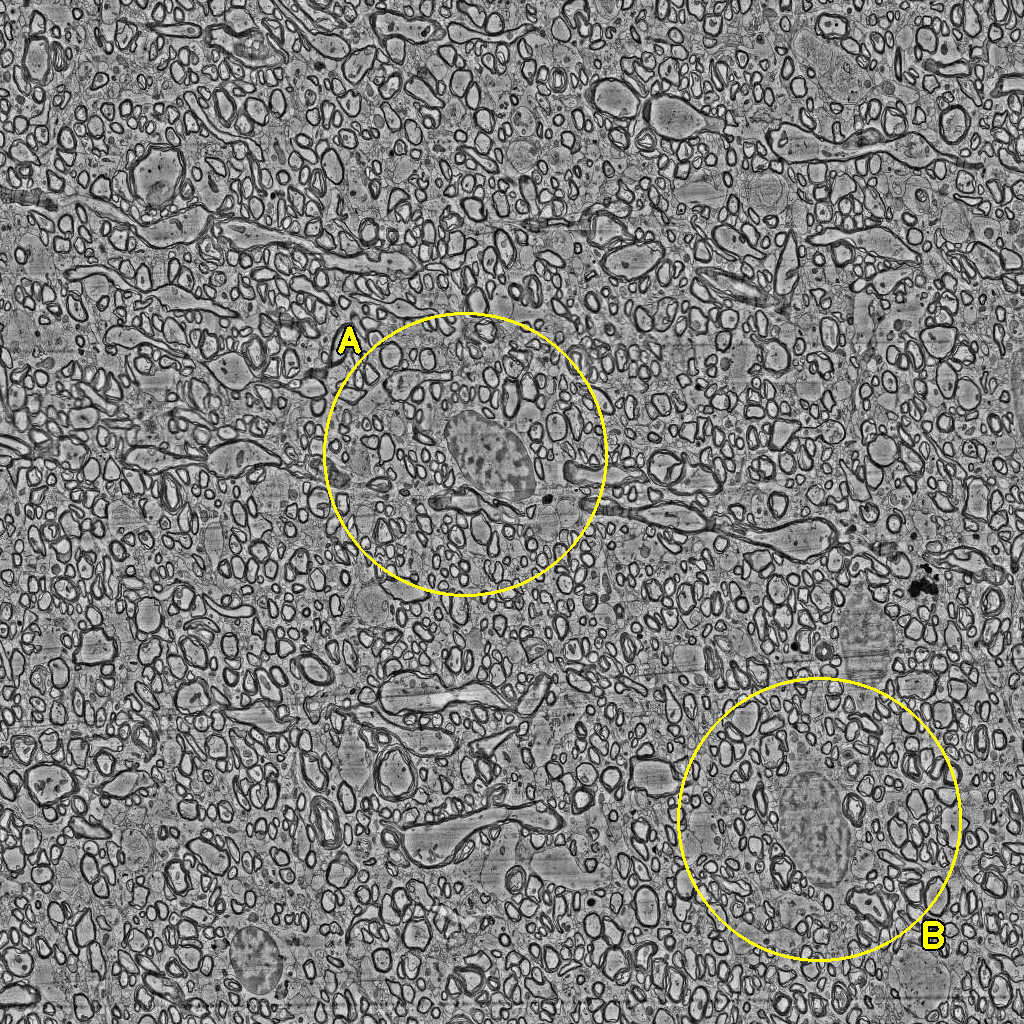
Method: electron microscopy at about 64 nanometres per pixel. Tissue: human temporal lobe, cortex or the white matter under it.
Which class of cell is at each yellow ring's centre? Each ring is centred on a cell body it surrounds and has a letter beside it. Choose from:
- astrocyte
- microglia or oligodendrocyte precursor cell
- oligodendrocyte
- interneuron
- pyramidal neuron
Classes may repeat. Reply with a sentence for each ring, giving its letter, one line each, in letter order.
The ring lettered A is centred on a microglial cell or oligodendrocyte precursor cell.
The ring lettered B is centred on an oligodendrocyte.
